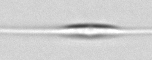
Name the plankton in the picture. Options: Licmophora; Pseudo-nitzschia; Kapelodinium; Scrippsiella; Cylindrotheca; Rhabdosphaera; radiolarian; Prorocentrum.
Cylindrotheca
